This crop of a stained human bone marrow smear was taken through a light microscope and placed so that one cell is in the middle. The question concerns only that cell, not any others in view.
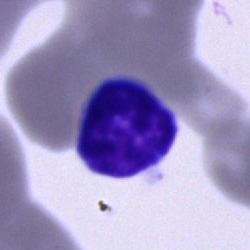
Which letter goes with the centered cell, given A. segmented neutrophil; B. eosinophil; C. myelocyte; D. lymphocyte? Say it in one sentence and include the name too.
Since the middle cell is a lymphocyte, option D is the right one.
